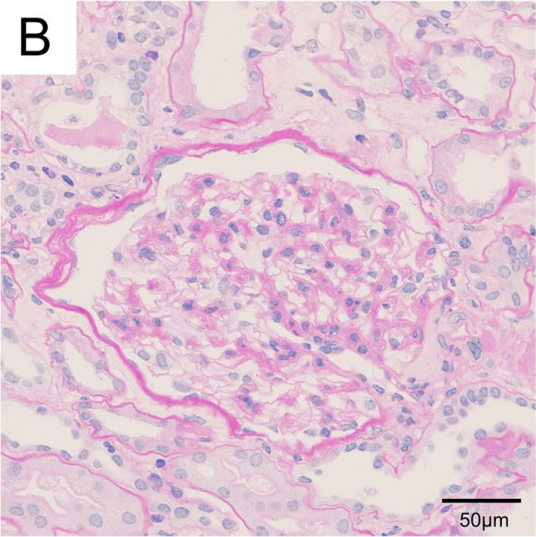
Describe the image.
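A single glomerulus from kidney cortex in a periodic acid–Schiff stain. The glomerular tuft is a lobulated network of open capillary loops whose walls and supporting matrix stain pink to magenta, with scattered dark blue oval nuclei spread fairly evenly through the tuft without crowding. An empty, clear space separates the tuft from the surrounding capsule, whose basement membrane is drawn as a sharp, wavy magenta line. Around the capsule lie cross-sections of tubules lined by cuboidal cells with round nuclei and pale pink cytoplasm, separated by thin bands of loose, pale interstitium.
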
